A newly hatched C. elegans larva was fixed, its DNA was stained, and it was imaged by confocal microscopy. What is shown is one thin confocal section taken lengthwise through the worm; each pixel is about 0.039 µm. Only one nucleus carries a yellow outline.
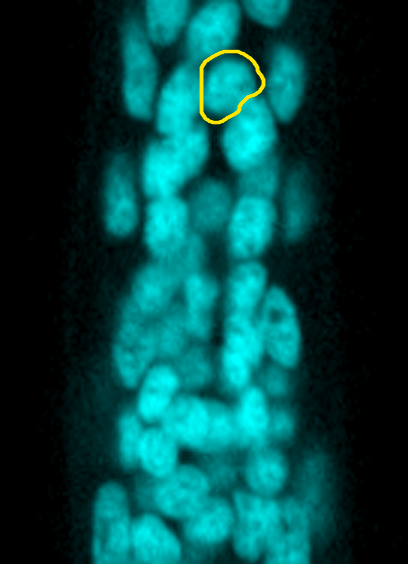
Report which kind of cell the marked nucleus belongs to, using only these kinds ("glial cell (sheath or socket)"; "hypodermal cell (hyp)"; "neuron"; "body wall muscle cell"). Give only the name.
hypodermal cell (hyp)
